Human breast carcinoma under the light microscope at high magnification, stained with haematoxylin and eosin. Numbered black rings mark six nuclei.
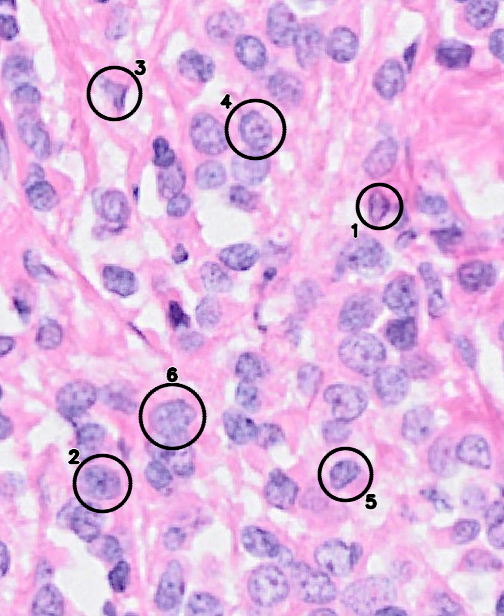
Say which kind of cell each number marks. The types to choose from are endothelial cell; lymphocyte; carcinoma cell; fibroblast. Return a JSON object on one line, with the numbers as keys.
{"1": "endothelial cell", "2": "carcinoma cell", "3": "fibroblast", "4": "carcinoma cell", "5": "carcinoma cell", "6": "carcinoma cell"}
